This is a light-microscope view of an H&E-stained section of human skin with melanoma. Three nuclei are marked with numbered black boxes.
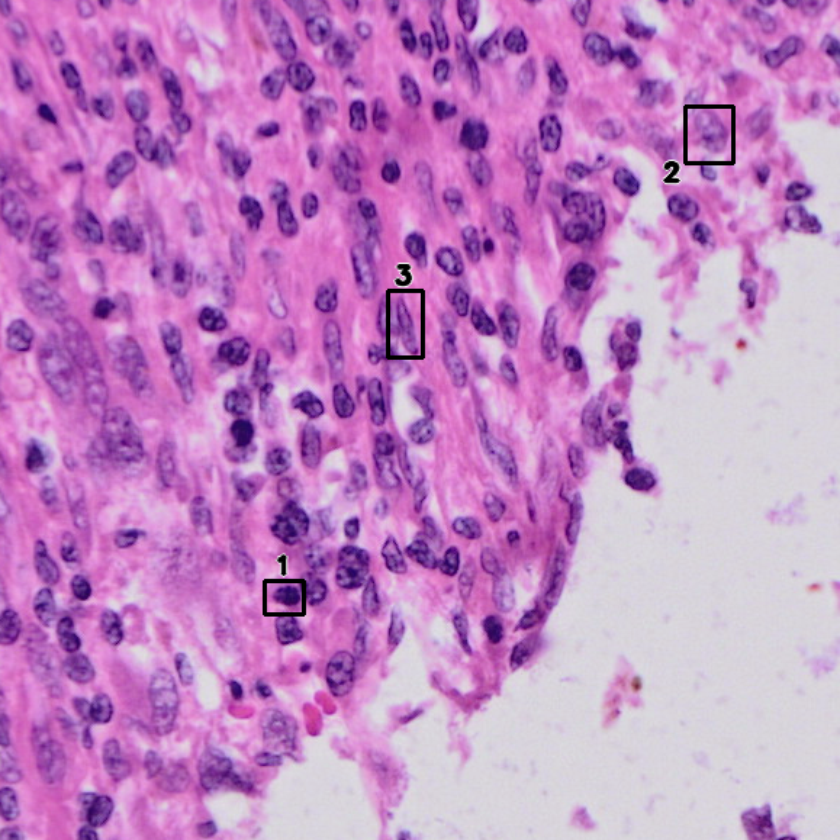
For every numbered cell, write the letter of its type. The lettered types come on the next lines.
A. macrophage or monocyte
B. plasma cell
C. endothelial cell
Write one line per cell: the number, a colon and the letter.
1: B
2: A
3: C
